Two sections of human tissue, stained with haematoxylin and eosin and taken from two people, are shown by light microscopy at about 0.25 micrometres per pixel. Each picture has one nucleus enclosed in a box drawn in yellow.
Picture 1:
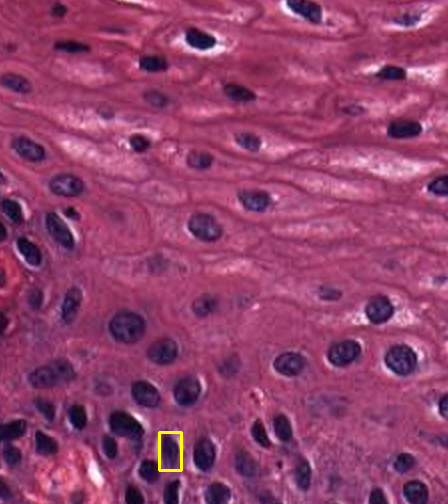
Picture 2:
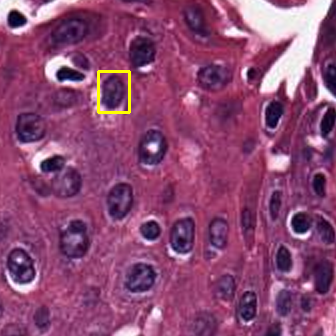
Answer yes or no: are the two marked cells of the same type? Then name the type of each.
Yes, both are squamous epithelial cells.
